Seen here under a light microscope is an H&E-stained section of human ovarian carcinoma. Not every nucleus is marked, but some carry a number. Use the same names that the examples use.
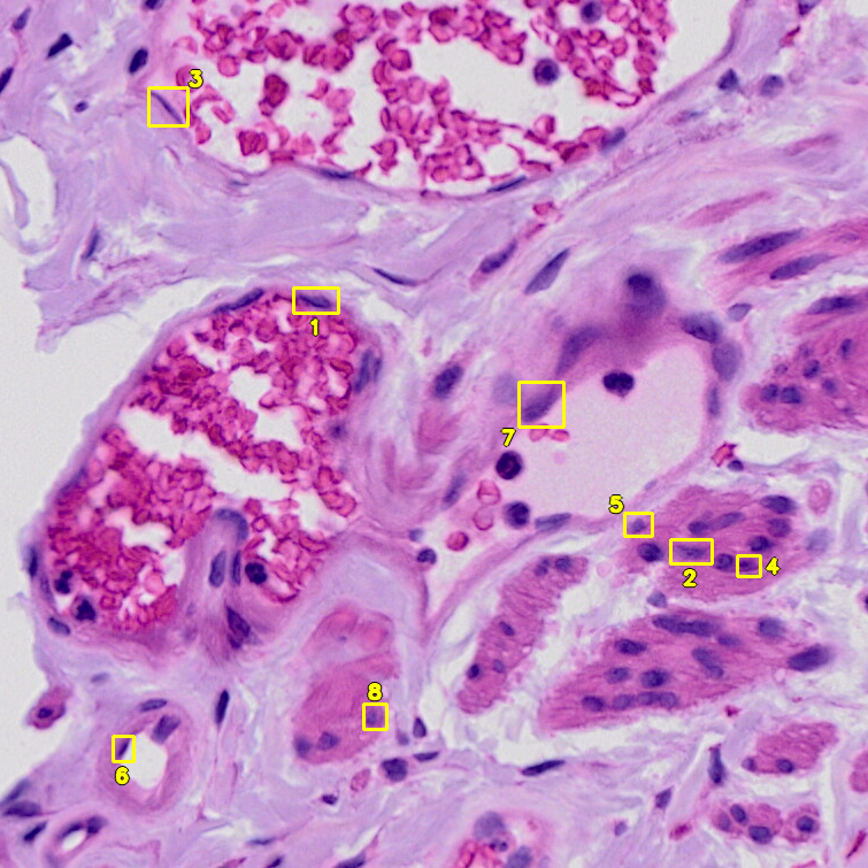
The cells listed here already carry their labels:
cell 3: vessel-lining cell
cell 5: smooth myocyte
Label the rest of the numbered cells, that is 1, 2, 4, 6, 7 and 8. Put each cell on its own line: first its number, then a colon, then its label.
1: vessel-lining cell
2: smooth myocyte
4: smooth myocyte
6: vessel-lining cell
7: vessel-lining cell
8: smooth myocyte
